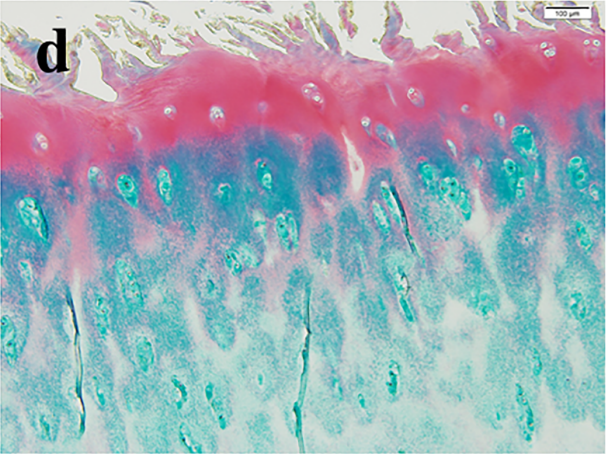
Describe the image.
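This is articular cartilage with a ragged, fragmented surface and chondrocytes set in a two-coloured matrix. The upper band of matrix stains red, while the deeper matrix stains blue-green in a patchy, granular way. Chondrocytes lie in lacunae and appear green, some of them grouped together in enlarged lacunae. Thin dark vertical clefts cross the deeper matrix. Above the red band, detached pale fragments of matrix mark the broken-up surface.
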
